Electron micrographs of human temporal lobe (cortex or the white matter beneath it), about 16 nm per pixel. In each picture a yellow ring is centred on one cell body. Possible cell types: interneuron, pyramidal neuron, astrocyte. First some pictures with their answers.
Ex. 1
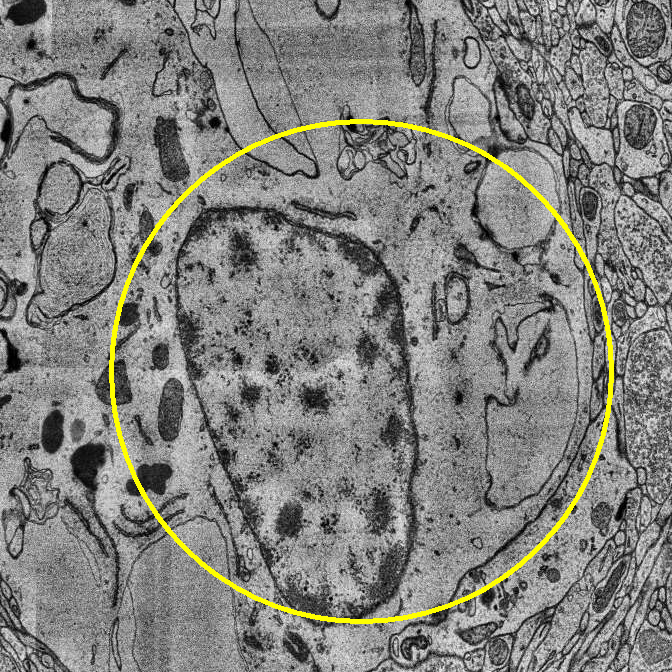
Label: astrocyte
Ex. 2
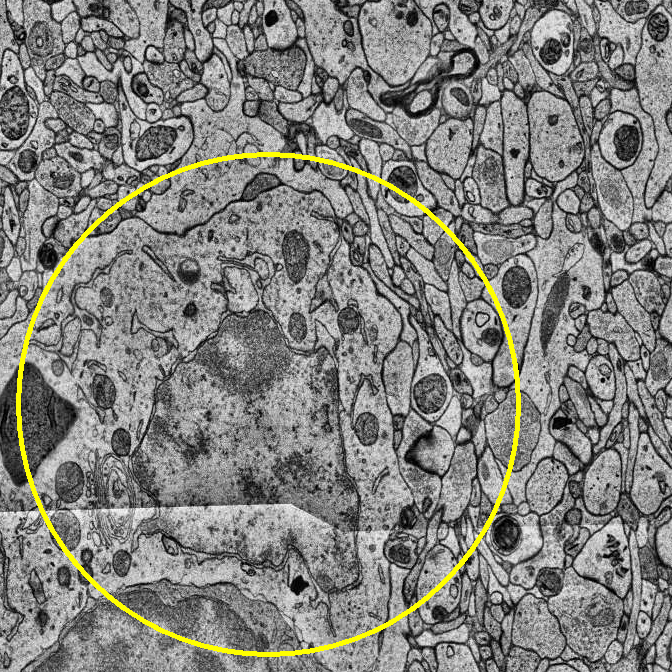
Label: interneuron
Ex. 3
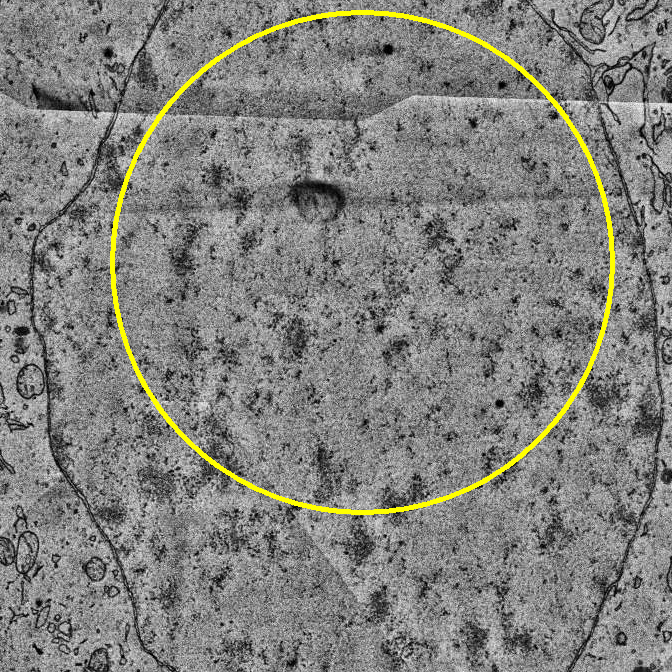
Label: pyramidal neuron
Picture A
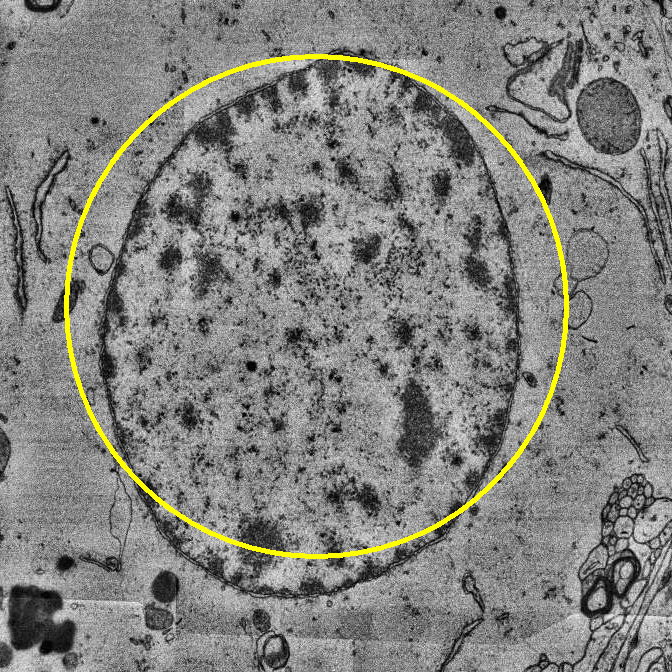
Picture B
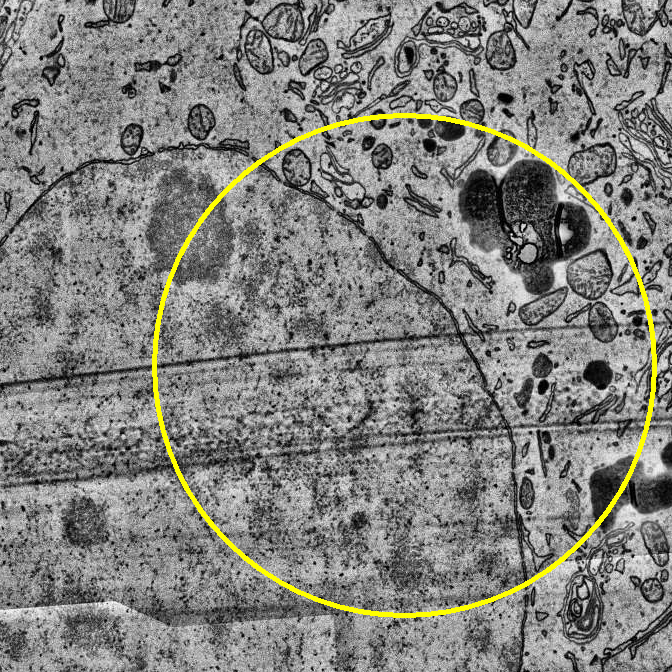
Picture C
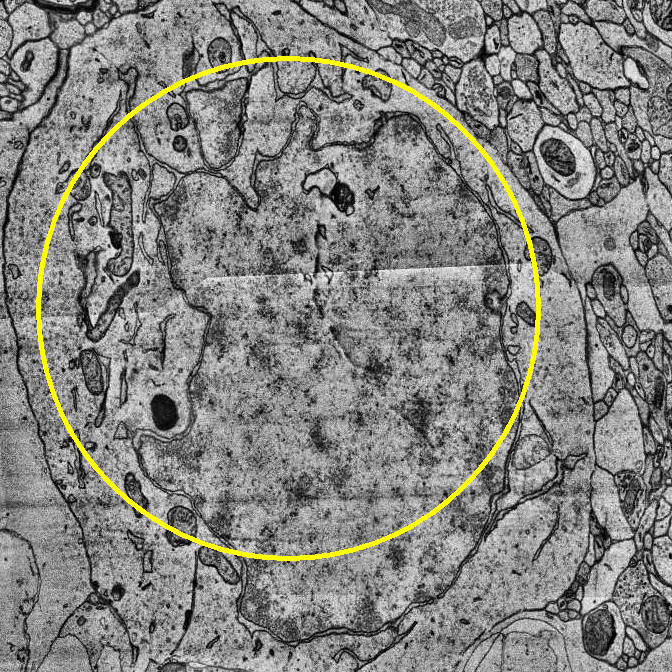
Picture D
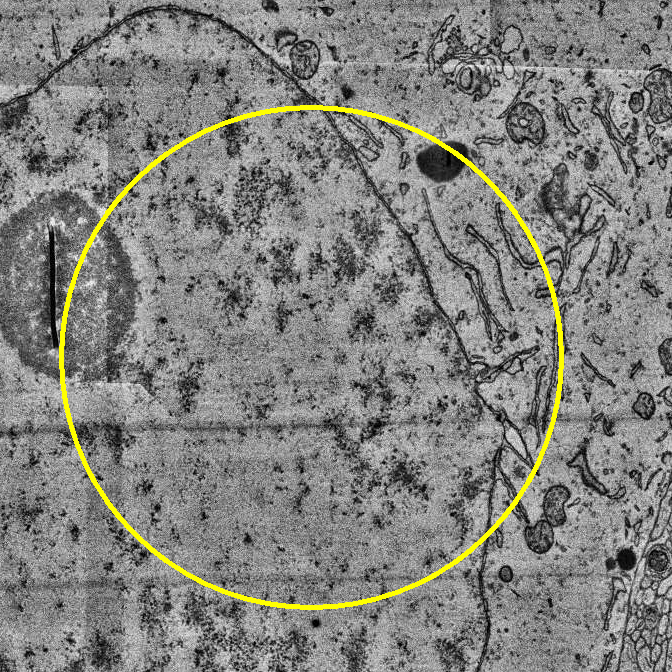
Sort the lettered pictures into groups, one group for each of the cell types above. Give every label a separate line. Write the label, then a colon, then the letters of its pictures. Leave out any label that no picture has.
interneuron: B, C
pyramidal neuron: D
astrocyte: A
